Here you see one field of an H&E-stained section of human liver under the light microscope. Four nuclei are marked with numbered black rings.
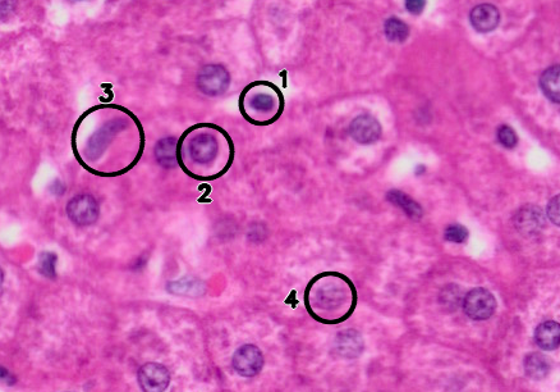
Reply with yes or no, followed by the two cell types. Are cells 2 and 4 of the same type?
Yes, both are hepatocytes.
